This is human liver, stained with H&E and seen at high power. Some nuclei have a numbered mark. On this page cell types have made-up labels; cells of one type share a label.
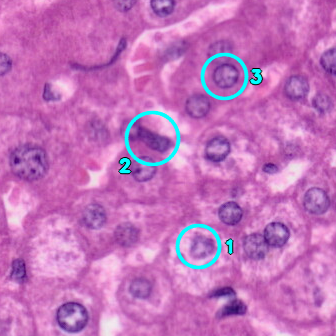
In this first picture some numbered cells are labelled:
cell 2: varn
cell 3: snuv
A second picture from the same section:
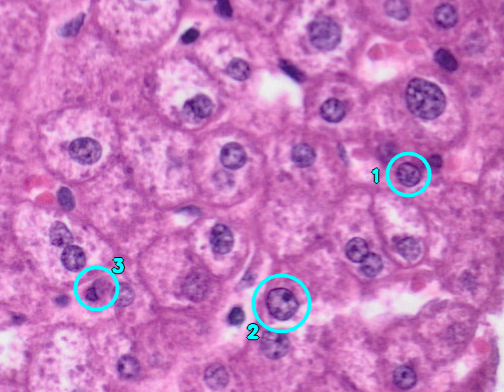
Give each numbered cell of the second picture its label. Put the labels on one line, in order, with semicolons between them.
snuv; snuv; varn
